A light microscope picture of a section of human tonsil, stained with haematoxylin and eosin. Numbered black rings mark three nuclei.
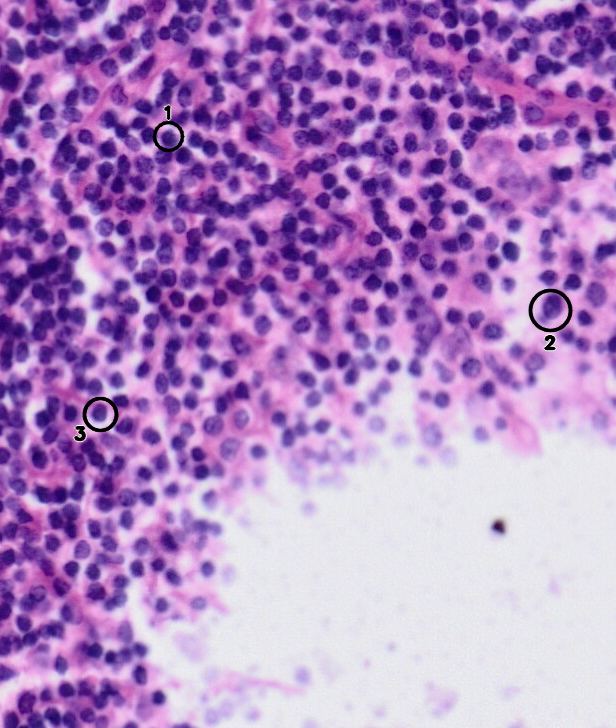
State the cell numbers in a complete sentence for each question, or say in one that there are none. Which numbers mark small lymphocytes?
The cells referred to by numbers 1 and 3 are small lymphocytes.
